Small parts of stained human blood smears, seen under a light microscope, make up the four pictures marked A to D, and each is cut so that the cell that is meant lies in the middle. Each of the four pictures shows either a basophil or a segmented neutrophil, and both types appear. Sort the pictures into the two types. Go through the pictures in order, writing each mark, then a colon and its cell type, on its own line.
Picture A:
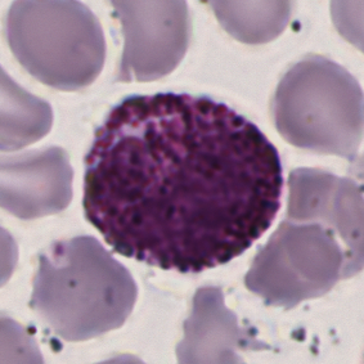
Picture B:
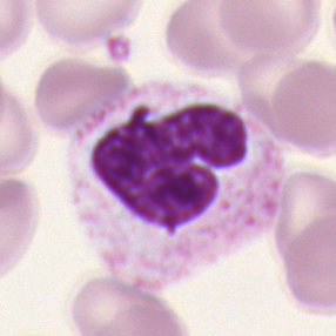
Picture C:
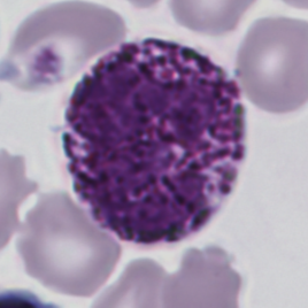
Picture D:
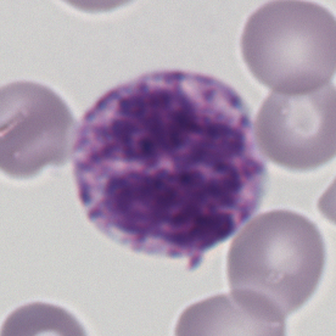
A: basophil
B: segmented neutrophil
C: basophil
D: basophil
